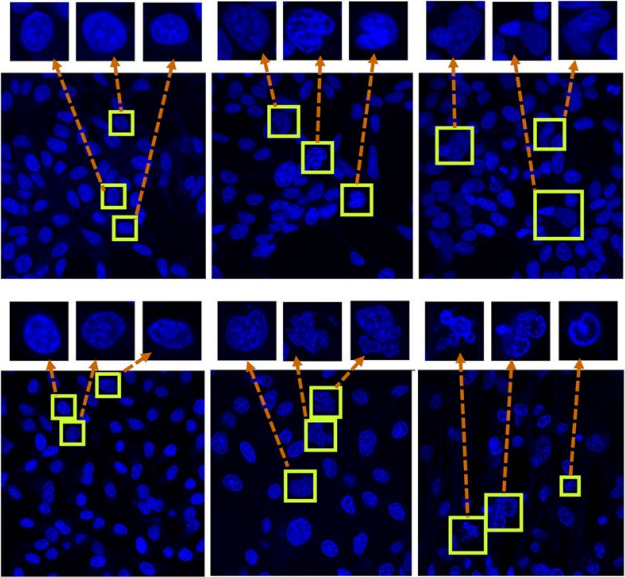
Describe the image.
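In each field, yellow boxes mark nuclei that are shown enlarged above. In the leftmost field of each row the nuclei are oval, with smooth outlines and fairly even staining. In the other fields many of the enlarged nuclei have irregular, lobed or indented outlines. Some of these nuclei appear fragmented into several rounded pieces or show uneven, clumped staining.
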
